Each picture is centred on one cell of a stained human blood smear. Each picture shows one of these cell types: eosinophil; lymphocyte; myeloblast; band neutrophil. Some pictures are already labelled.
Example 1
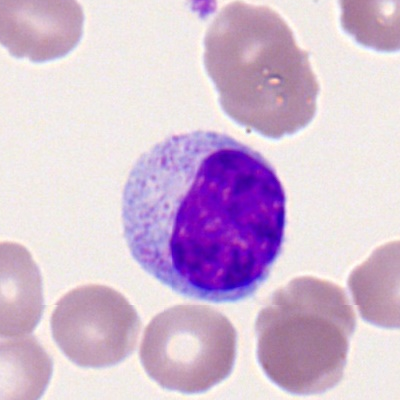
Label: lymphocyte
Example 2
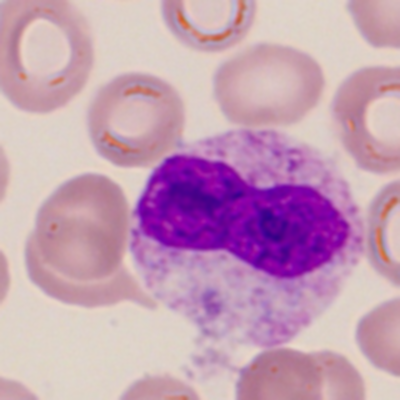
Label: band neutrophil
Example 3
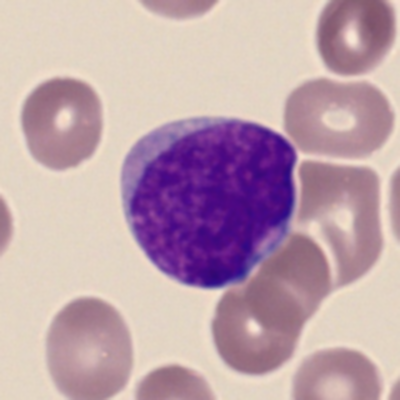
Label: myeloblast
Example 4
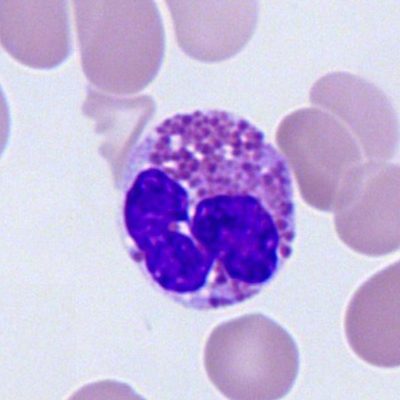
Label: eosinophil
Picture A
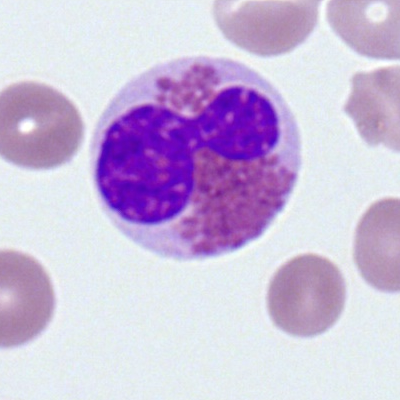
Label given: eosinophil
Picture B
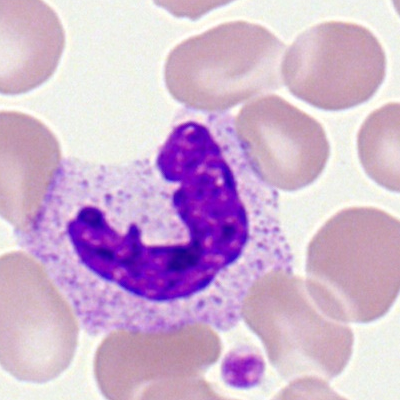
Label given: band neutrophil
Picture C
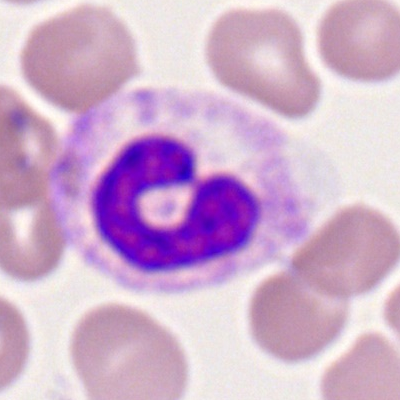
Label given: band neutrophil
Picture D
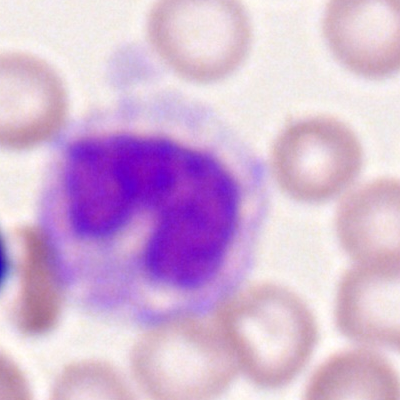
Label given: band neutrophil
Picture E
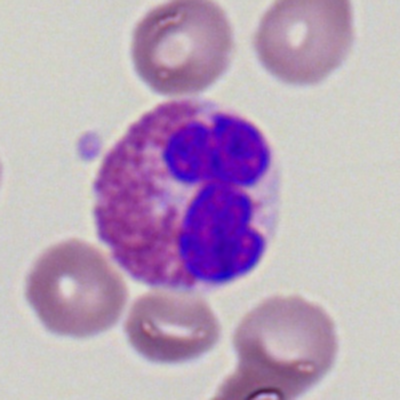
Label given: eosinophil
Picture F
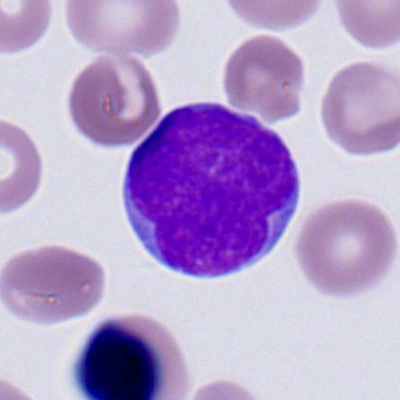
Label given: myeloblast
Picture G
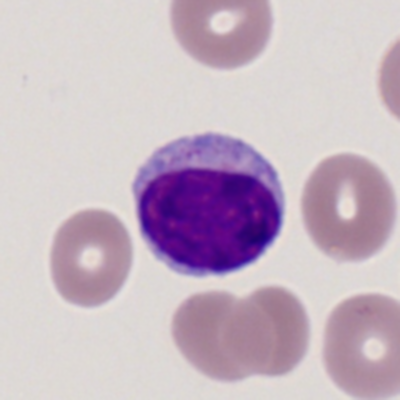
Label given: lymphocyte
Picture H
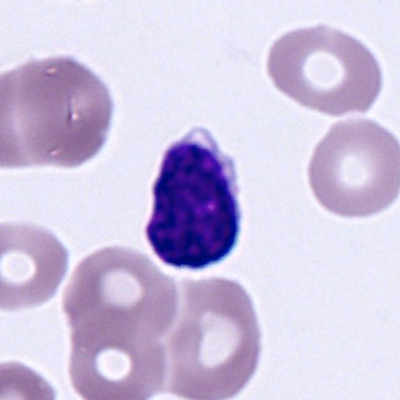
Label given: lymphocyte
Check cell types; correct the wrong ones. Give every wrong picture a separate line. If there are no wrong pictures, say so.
None of the labels needs changing.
